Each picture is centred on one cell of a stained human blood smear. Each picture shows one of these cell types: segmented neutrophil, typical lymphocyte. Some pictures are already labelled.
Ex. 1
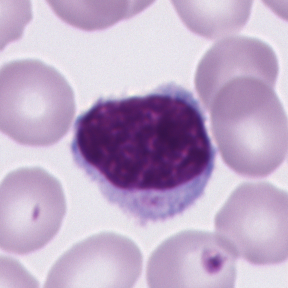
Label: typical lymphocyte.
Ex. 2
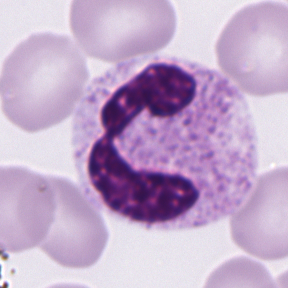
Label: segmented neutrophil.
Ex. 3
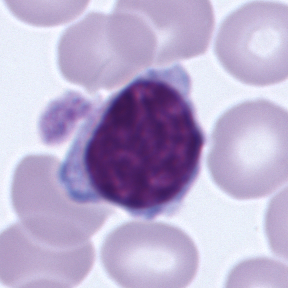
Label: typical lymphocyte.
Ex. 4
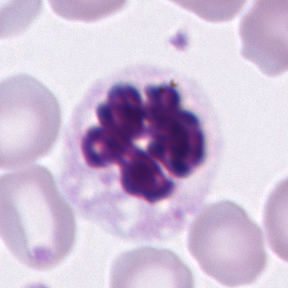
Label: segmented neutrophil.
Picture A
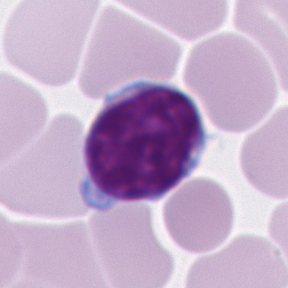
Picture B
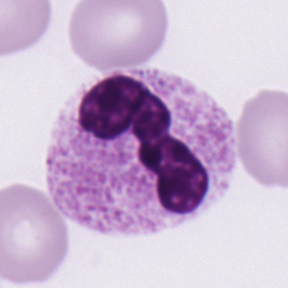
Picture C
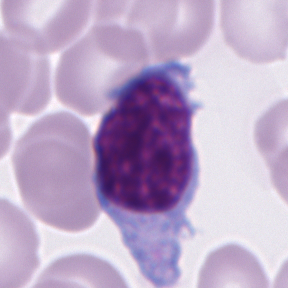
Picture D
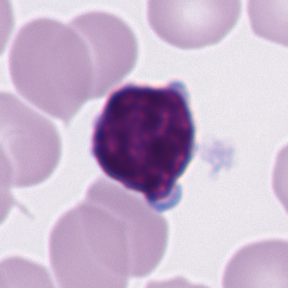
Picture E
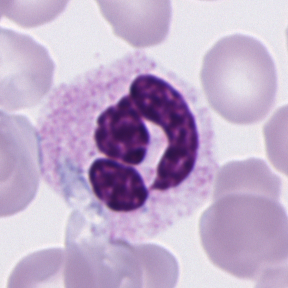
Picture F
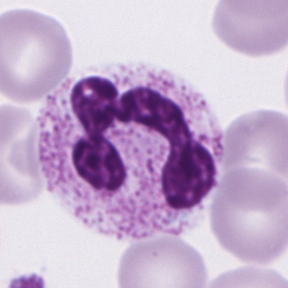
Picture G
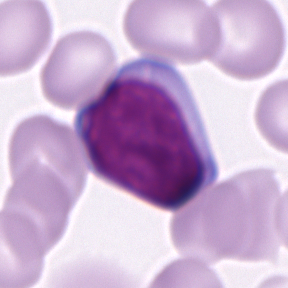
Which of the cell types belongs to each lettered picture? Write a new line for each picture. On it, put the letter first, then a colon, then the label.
A: typical lymphocyte.
B: segmented neutrophil.
C: typical lymphocyte.
D: typical lymphocyte.
E: segmented neutrophil.
F: segmented neutrophil.
G: typical lymphocyte.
